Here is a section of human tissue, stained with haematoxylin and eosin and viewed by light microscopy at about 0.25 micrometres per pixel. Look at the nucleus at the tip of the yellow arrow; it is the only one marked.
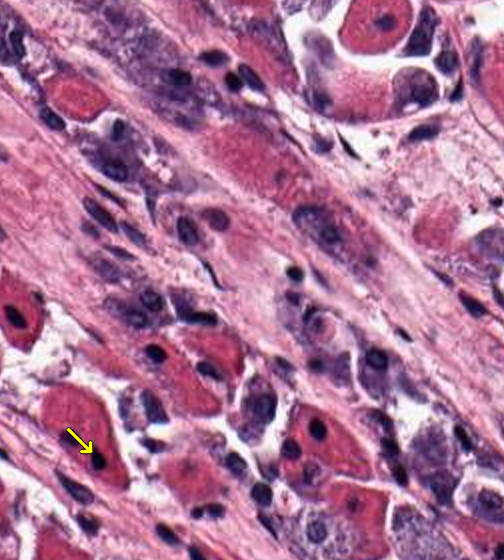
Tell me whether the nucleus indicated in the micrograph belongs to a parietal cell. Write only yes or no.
yes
